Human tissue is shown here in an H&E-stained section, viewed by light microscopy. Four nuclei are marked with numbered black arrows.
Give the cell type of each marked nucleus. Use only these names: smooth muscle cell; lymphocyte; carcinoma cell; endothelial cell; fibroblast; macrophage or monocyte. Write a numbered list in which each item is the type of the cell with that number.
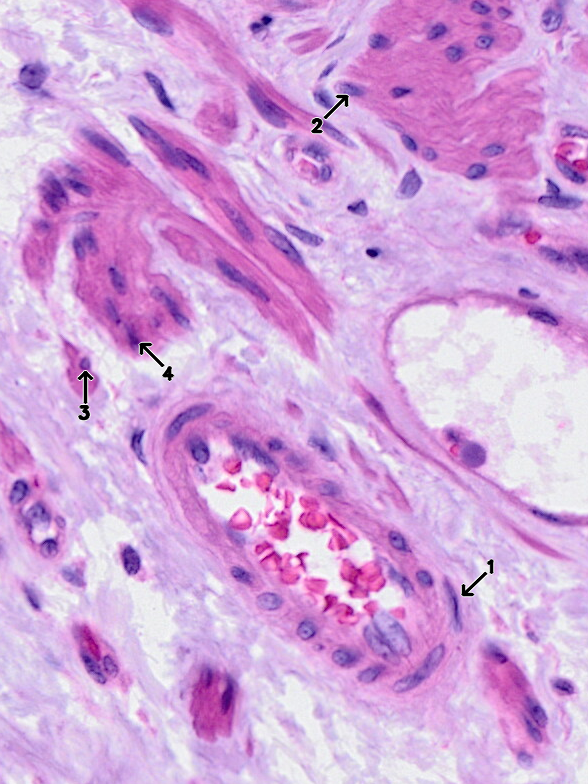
1. fibroblast
2. smooth muscle cell
3. smooth muscle cell
4. smooth muscle cell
